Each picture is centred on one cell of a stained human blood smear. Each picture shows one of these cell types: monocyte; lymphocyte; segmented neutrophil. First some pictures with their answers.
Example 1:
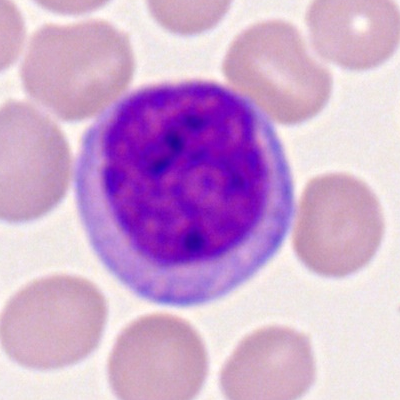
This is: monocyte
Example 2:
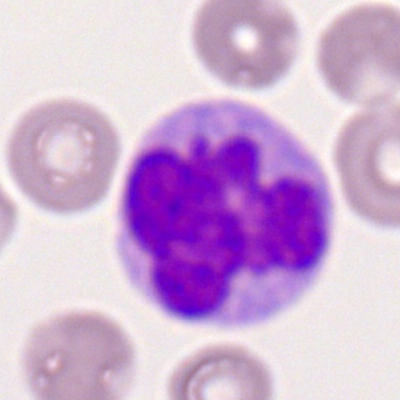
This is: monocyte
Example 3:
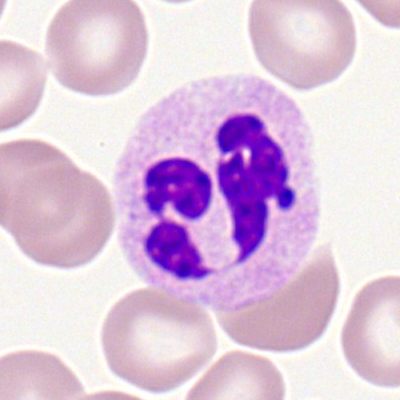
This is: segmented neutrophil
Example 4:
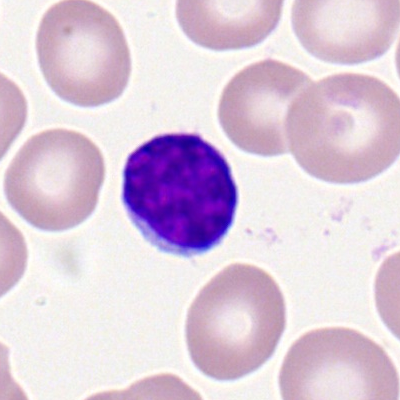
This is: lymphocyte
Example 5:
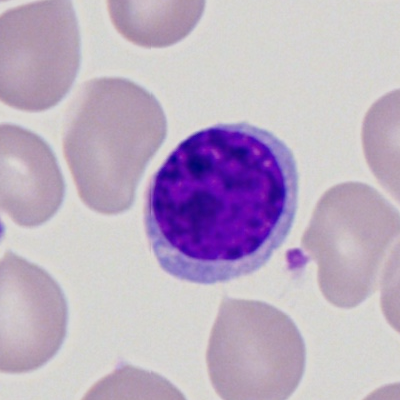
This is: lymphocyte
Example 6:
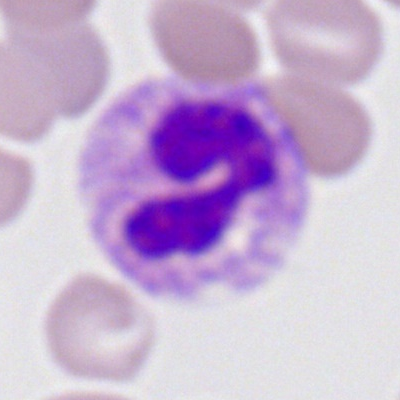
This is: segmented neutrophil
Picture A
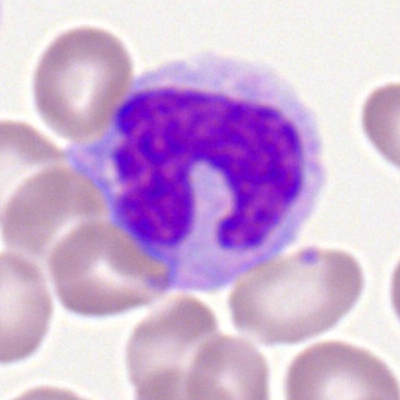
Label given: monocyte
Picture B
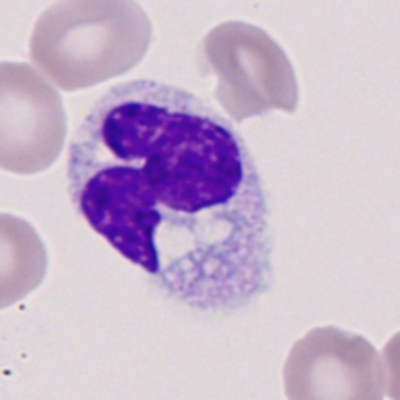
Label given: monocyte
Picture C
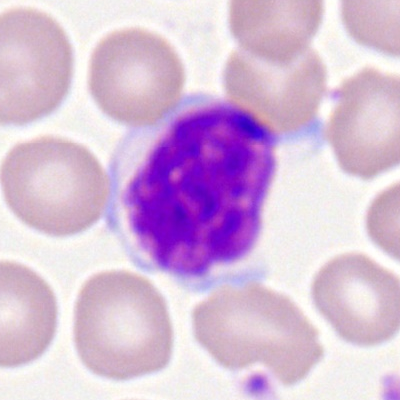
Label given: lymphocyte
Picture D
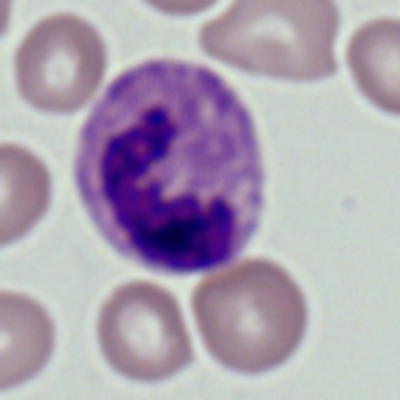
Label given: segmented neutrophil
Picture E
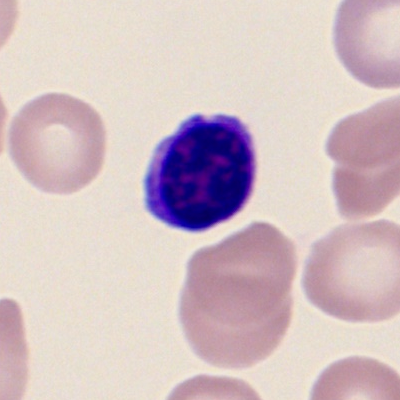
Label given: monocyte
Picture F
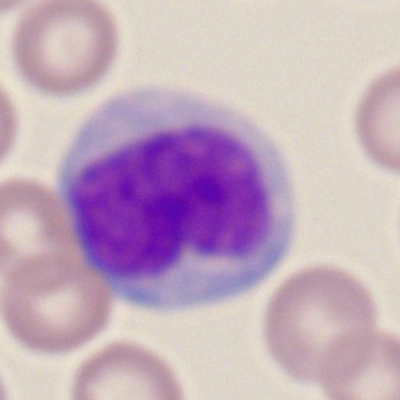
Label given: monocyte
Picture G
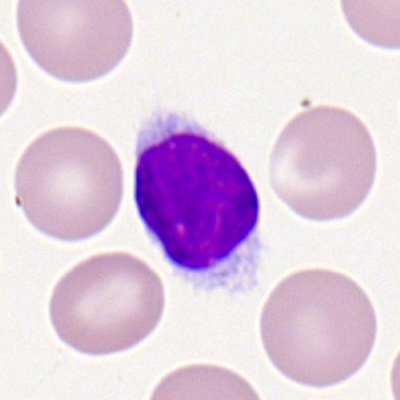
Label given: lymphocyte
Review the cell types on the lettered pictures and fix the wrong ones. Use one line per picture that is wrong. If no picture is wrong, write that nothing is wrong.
E should be lymphocyte, not monocyte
